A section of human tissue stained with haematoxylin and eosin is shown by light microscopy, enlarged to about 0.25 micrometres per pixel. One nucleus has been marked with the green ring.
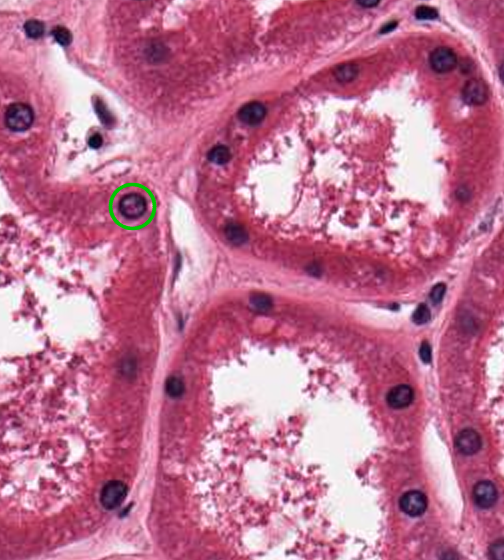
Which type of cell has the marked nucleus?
proximal tubule cell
